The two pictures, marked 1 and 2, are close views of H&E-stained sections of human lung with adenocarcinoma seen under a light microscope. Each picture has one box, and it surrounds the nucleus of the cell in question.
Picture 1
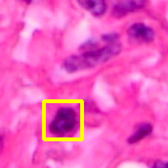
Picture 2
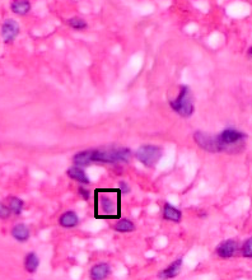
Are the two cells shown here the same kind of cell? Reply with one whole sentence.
No, they differ: the cell is a plasma cell in picture 1 and a “smooth muscle cell or pericyte” in picture 2.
